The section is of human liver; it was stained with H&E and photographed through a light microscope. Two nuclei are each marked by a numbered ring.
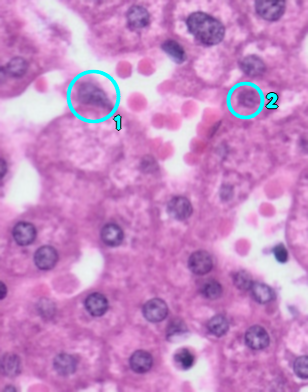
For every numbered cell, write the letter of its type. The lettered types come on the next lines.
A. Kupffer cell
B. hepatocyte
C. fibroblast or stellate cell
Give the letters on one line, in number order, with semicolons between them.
A; B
